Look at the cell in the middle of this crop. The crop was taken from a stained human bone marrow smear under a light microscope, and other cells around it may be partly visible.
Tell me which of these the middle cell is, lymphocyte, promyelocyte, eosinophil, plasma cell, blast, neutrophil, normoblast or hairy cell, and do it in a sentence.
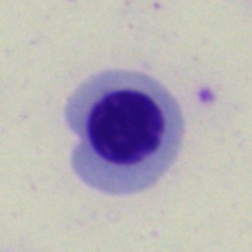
The cell sitting right in the middle is a normoblast.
